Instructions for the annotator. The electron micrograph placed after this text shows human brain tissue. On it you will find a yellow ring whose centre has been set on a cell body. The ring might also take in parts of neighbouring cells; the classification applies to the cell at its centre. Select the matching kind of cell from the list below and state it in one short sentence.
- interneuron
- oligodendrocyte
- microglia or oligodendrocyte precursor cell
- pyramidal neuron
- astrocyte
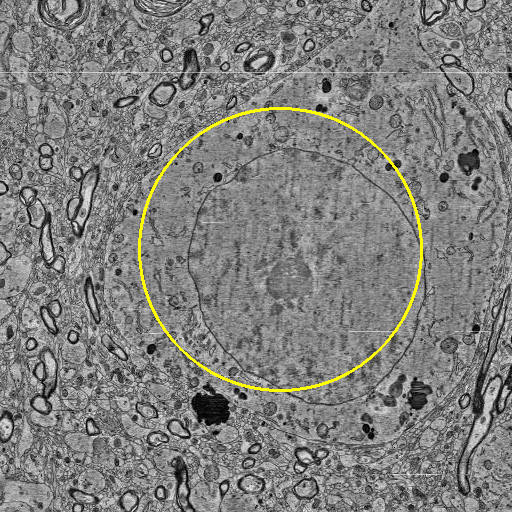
The ring is drawn on the cell body of a pyramidal neuron.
